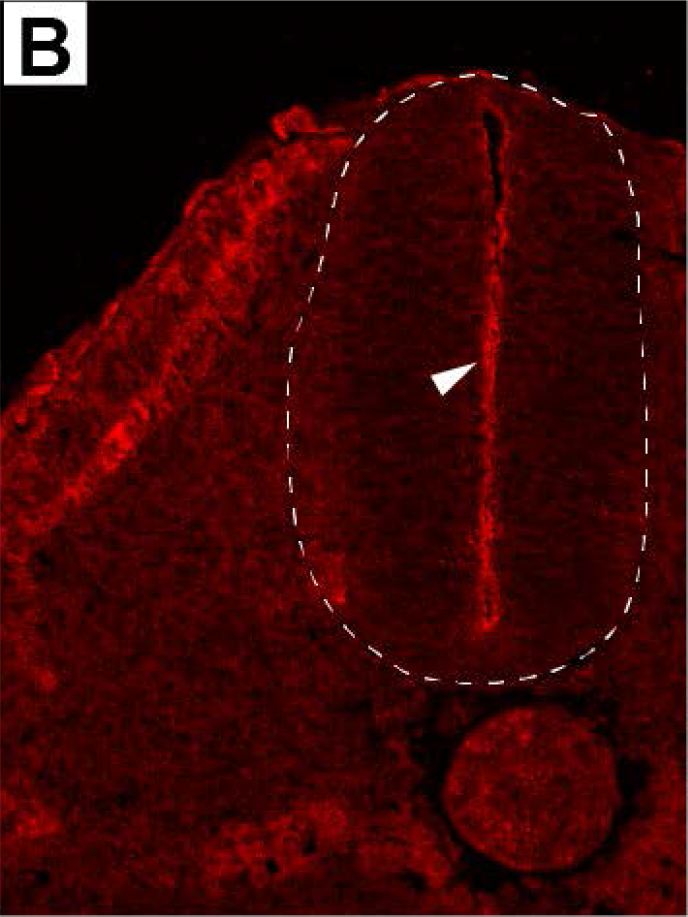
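Cross-section of the neural tube, outlined by a dashed line, an oval wall of thickly packed cells around a slit-like central lumen. A round rod of tissue lies beneath the tube, and the tissue beside it to the left shows a brighter surface layer.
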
